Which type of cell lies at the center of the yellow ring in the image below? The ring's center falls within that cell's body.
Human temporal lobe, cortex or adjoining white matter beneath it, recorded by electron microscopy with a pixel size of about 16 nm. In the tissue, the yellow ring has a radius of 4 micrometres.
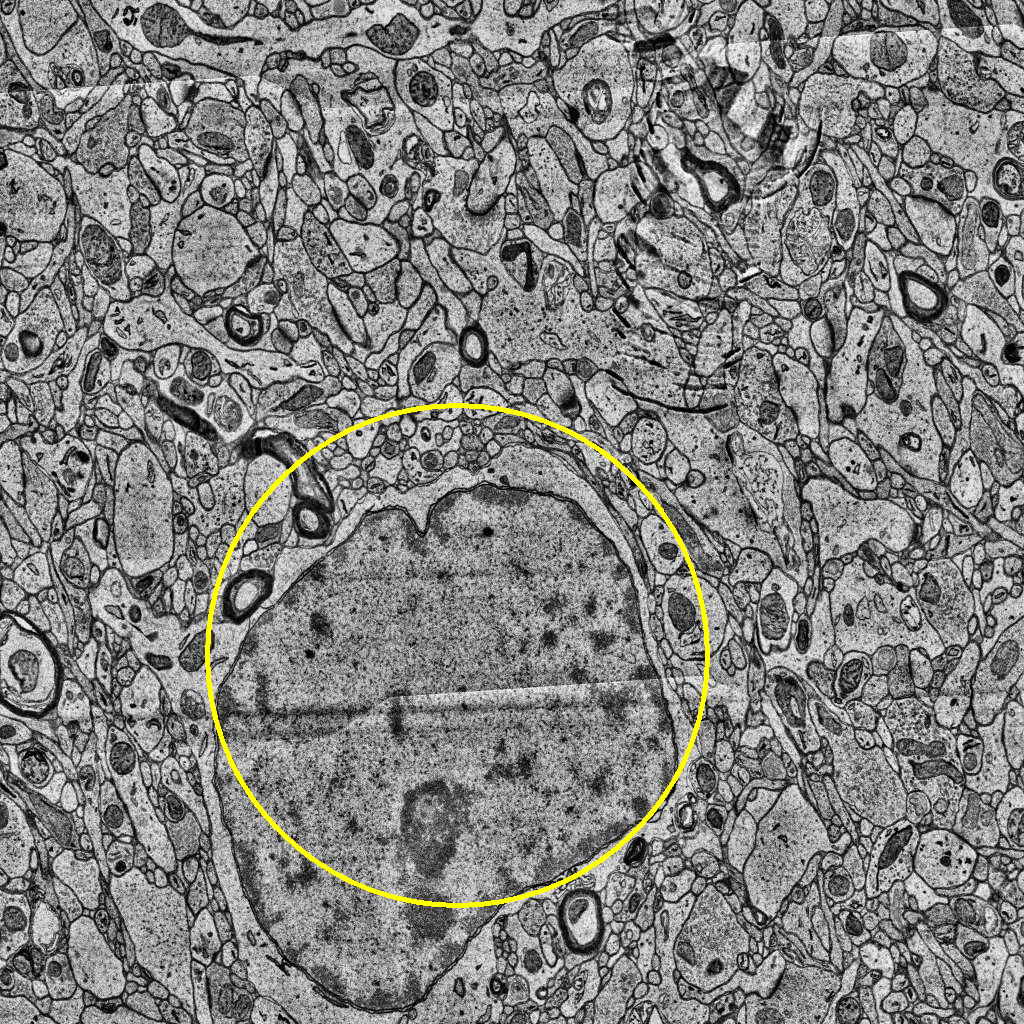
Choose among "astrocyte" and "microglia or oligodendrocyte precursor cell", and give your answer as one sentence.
The cell body at the center belongs to a microglial cell or oligodendrocyte precursor cell.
